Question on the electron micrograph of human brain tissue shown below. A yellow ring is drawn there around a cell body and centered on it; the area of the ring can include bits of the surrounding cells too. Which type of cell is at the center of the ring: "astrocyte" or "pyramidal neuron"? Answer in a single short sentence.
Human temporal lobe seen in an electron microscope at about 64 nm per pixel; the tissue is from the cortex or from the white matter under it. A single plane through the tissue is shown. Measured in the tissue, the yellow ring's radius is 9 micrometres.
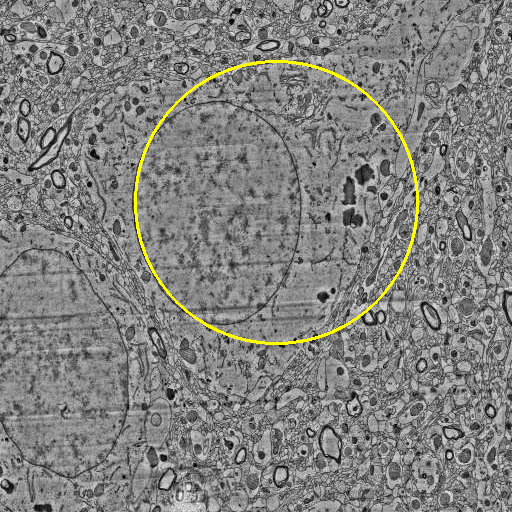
The ring is centered on a pyramidal neuron.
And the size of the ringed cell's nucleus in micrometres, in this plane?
The nucleus measures about 14 by 11 micrometres in this plane.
